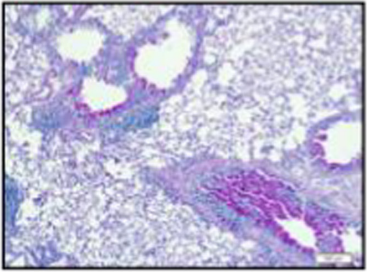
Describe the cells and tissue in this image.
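This is lung tissue with several airways cut in section within pale alveolar parenchyma. The tissue around the airways is bluish-purple and more densely cellular than the alveolar walls, which appear as a fine pale network.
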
